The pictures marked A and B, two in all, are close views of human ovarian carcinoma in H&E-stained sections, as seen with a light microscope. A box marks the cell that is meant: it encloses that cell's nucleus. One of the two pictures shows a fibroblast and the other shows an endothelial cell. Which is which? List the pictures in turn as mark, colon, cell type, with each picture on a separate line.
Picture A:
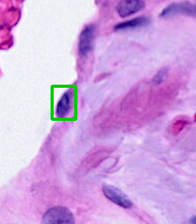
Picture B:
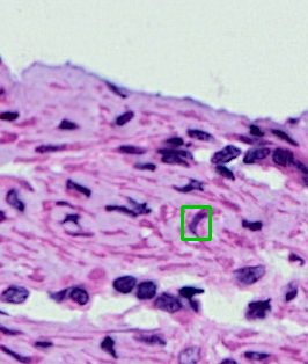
A: endothelial cell
B: fibroblast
